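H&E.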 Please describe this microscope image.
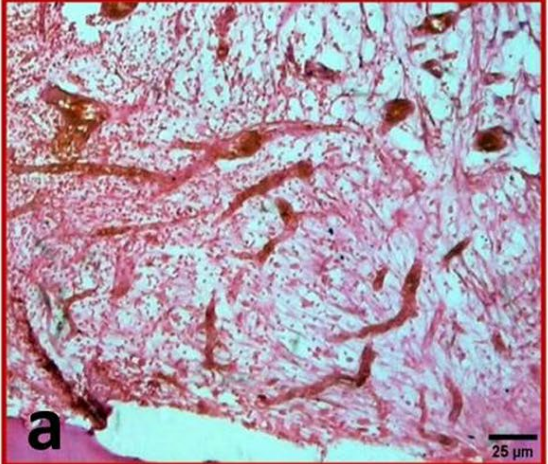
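This is loose connective tissue with cellular infiltration and many blood vessels. A meshwork of fine pink fibres fills the field. Many small, darkly stained nuclei are scattered through it. Numerous elongated and branching vessels run through the tissue, filled with reddish-brown blood cells. Clear spaces between the fibres give the tissue a loose, open texture.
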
